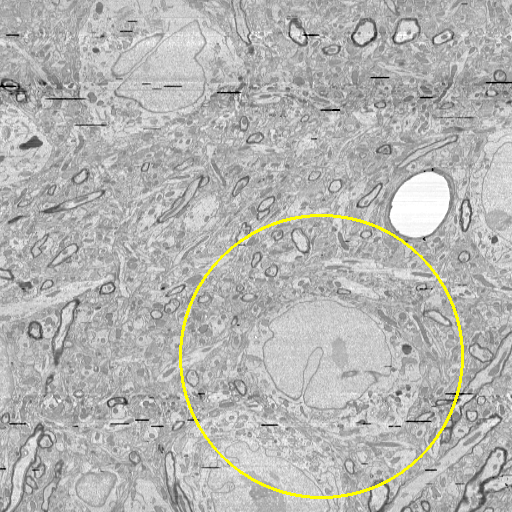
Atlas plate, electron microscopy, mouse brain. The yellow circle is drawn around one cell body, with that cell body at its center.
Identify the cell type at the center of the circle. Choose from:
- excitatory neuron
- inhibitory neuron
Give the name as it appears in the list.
excitatory neuron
